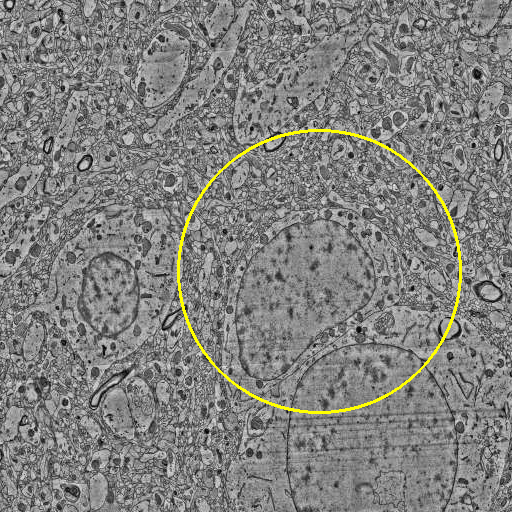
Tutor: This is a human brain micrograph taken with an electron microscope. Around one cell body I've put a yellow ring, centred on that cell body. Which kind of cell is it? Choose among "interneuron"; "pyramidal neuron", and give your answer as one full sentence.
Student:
Going by your list, the cell centred in the yellow ring is a pyramidal neuron.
